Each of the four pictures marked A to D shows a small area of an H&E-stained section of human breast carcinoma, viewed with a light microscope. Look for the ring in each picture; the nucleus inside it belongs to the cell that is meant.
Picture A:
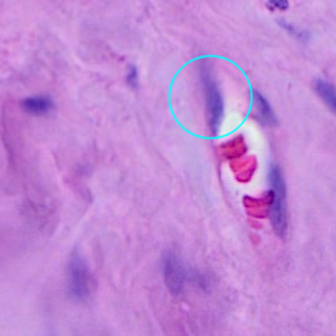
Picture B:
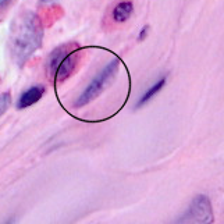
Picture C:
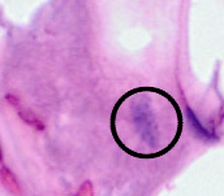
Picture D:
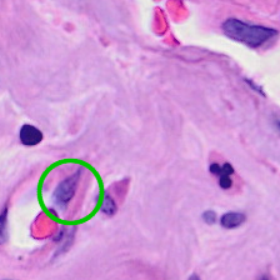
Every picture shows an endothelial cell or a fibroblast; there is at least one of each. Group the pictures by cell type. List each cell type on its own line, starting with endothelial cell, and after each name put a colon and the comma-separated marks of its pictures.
endothelial cell: A, D
fibroblast: B, C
